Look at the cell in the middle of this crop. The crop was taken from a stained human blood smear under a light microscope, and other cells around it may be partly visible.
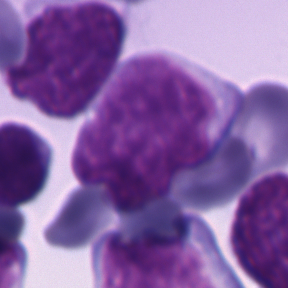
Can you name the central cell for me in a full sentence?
The centrally positioned cell in the crop represents a myeloblast.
